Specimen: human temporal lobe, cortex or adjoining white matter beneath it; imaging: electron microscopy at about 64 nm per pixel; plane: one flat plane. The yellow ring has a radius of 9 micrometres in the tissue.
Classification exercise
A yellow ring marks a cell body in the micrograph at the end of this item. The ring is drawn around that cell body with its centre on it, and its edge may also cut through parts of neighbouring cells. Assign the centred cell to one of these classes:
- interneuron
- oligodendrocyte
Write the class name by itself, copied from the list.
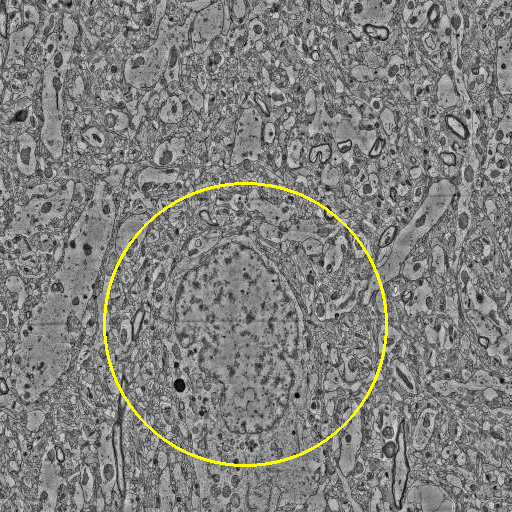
interneuron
